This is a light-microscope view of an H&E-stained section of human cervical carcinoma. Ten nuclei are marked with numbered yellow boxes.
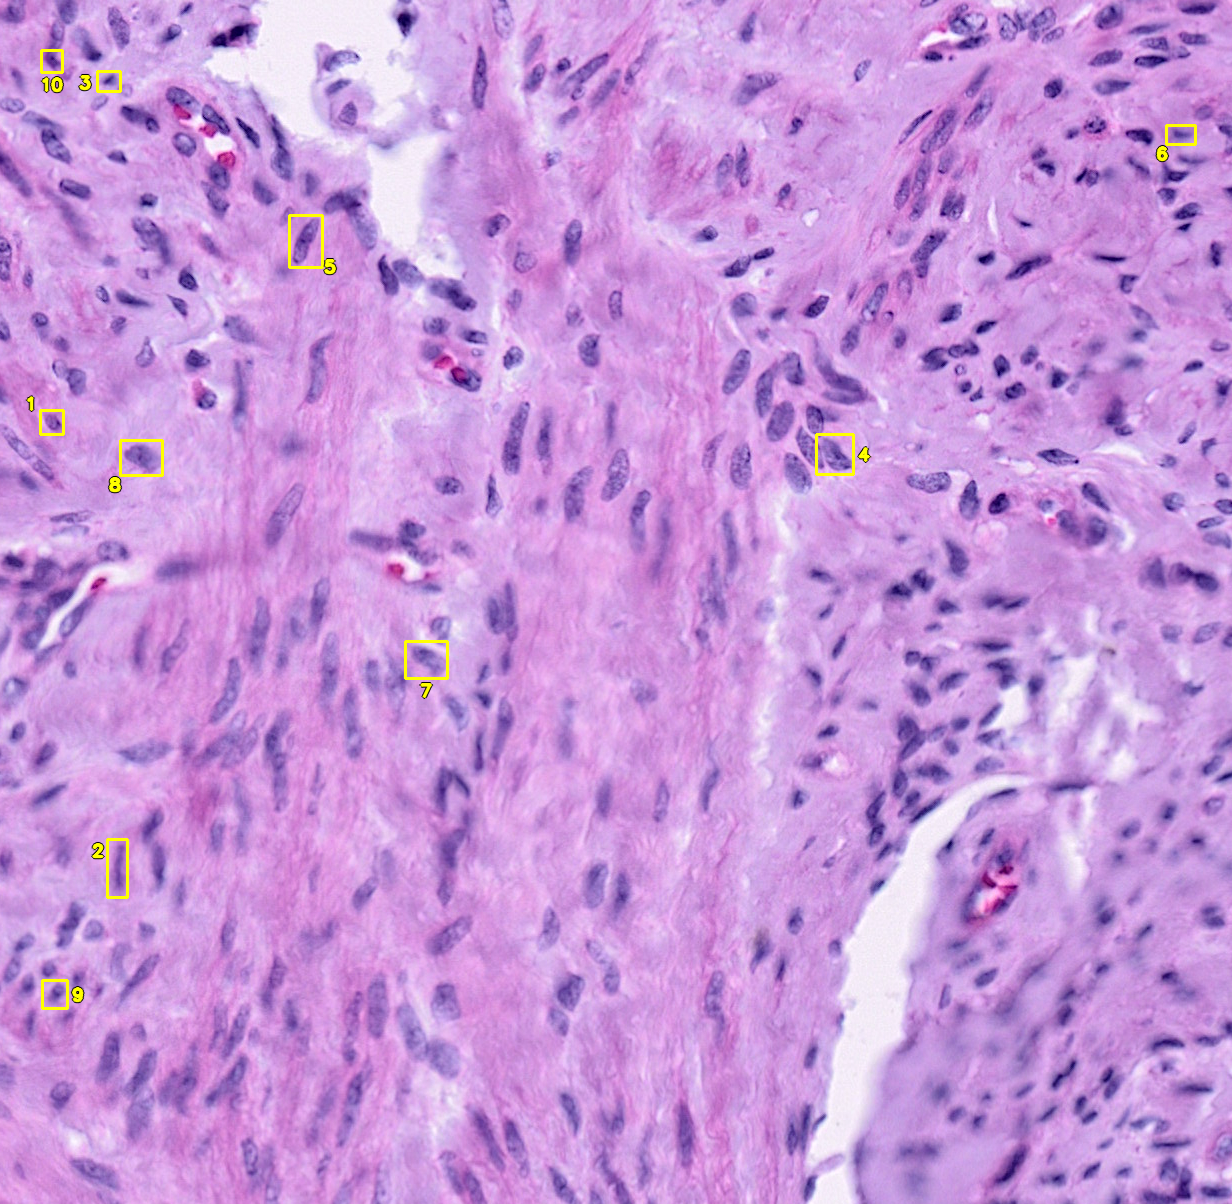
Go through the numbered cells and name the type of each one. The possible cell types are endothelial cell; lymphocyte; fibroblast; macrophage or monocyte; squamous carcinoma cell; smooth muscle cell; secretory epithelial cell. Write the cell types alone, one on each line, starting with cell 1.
smooth muscle cell
smooth muscle cell
fibroblast
fibroblast
fibroblast
fibroblast
fibroblast
fibroblast
smooth muscle cell
smooth muscle cell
